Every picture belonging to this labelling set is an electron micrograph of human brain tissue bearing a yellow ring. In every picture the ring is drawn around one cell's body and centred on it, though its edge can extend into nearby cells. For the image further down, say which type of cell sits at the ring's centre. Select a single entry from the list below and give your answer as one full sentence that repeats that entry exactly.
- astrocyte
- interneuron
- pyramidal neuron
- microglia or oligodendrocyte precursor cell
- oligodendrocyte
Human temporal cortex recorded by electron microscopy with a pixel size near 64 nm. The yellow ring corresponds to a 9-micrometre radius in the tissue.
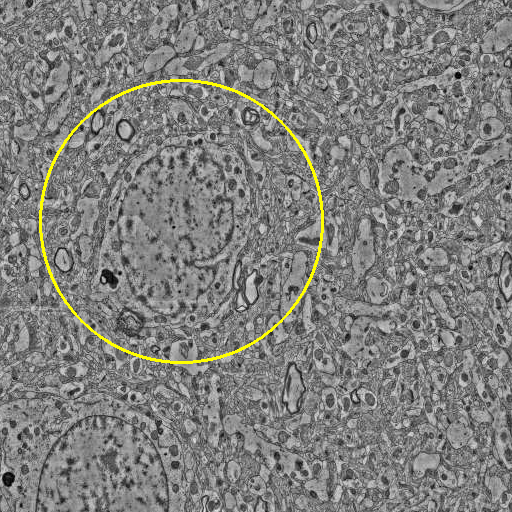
In the picture, an interneuron is the cell at the centre of the yellow ring.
